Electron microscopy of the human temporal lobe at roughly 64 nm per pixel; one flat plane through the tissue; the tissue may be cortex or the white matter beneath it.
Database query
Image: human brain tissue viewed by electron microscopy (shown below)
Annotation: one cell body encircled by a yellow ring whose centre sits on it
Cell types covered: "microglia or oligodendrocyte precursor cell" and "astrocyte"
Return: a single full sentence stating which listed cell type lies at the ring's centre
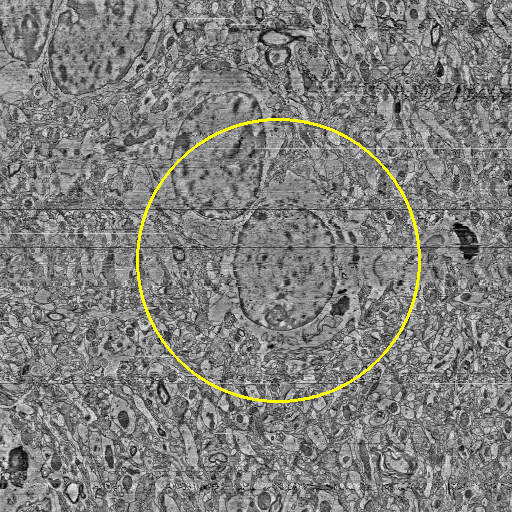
In the image, the cell lying at the ring's centre is an astrocyte.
